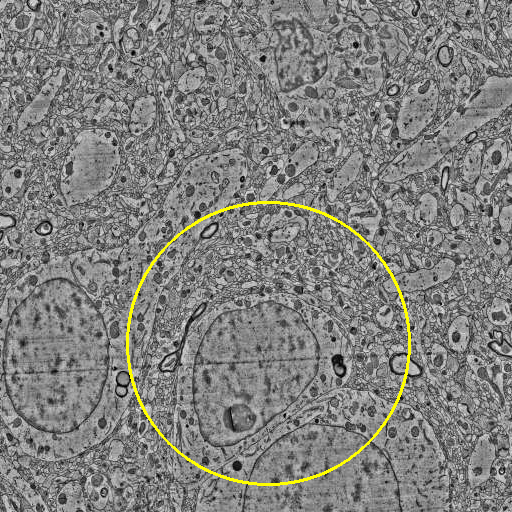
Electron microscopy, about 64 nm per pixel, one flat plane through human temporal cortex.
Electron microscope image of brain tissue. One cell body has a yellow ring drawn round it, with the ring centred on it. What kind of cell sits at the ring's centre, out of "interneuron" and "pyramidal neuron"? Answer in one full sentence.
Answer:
It is a pyramidal neuron whose cell body sits at the centre of the yellow ring.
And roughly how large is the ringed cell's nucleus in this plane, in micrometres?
In this plane, approximately 10 by 7 micrometers.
